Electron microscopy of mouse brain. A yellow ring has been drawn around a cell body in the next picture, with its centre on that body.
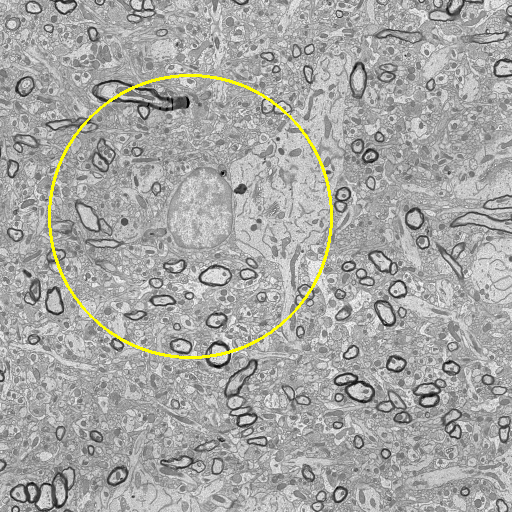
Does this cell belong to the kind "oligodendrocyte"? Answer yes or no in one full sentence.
Yes, the ringed cell in this picture, sitting at the ring's centre, is of that kind.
